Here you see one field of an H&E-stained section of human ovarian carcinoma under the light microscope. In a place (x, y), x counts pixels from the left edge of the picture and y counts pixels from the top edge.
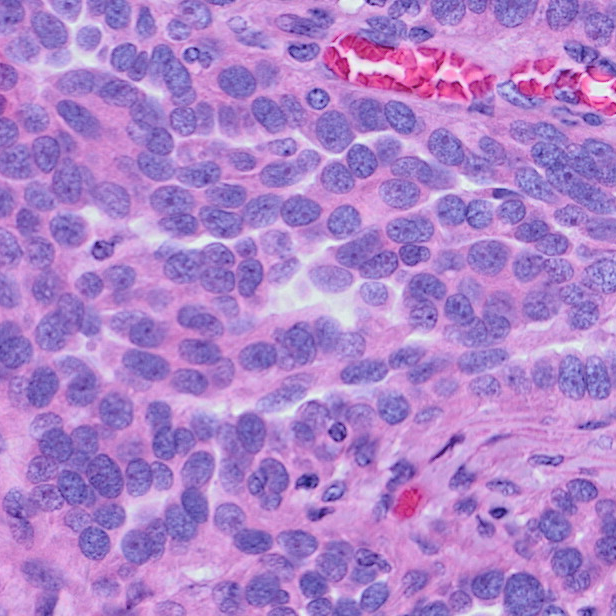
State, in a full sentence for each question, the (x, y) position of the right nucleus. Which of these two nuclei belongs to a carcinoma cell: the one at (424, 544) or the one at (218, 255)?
Out of the two, it is the nucleus at (218, 255) that belongs to a carcinoma cell.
